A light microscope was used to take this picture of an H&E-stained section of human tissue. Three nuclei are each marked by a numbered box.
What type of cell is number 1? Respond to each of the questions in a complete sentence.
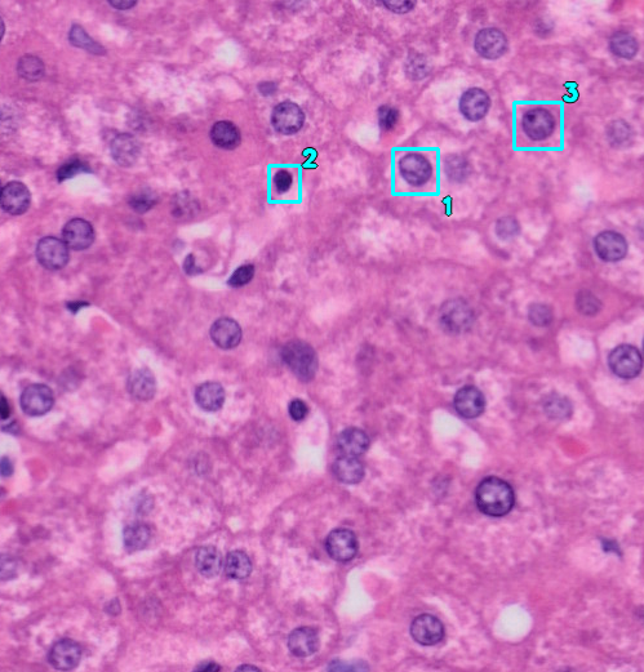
In the tissue shown, cell 1 is a hepatocyte.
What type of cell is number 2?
Cell number 2 in this section is a lymphocyte.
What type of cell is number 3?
That cell with number 3 is a hepatocyte.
